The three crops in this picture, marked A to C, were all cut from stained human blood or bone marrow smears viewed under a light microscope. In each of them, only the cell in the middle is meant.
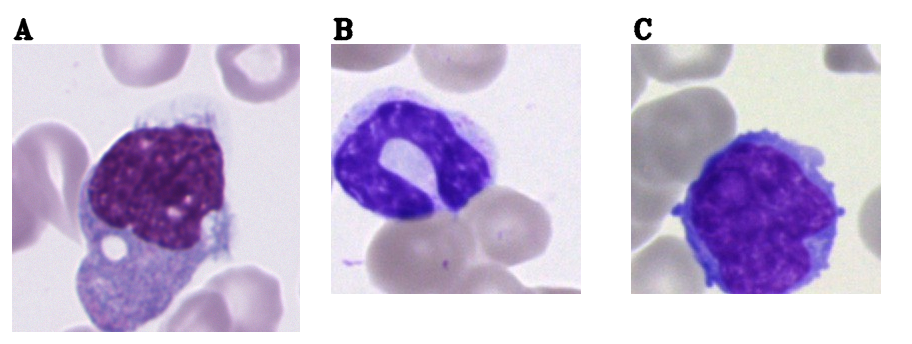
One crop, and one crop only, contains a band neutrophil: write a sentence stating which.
The crop marked B is the one that shows a band neutrophil.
